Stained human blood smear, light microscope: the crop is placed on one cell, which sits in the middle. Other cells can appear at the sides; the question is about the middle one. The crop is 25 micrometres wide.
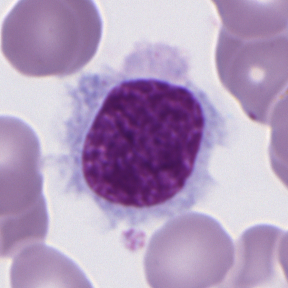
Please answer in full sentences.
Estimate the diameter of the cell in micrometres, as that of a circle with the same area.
The cell is about 14 micrometres across.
